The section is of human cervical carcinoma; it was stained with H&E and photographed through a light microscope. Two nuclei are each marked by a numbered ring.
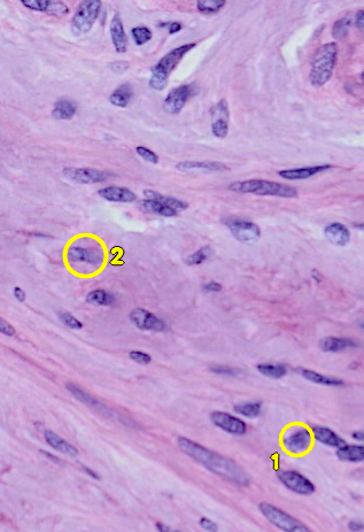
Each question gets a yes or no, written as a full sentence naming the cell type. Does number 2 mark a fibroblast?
No, cell 2 is a smooth muscle cell, not a fibroblast.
